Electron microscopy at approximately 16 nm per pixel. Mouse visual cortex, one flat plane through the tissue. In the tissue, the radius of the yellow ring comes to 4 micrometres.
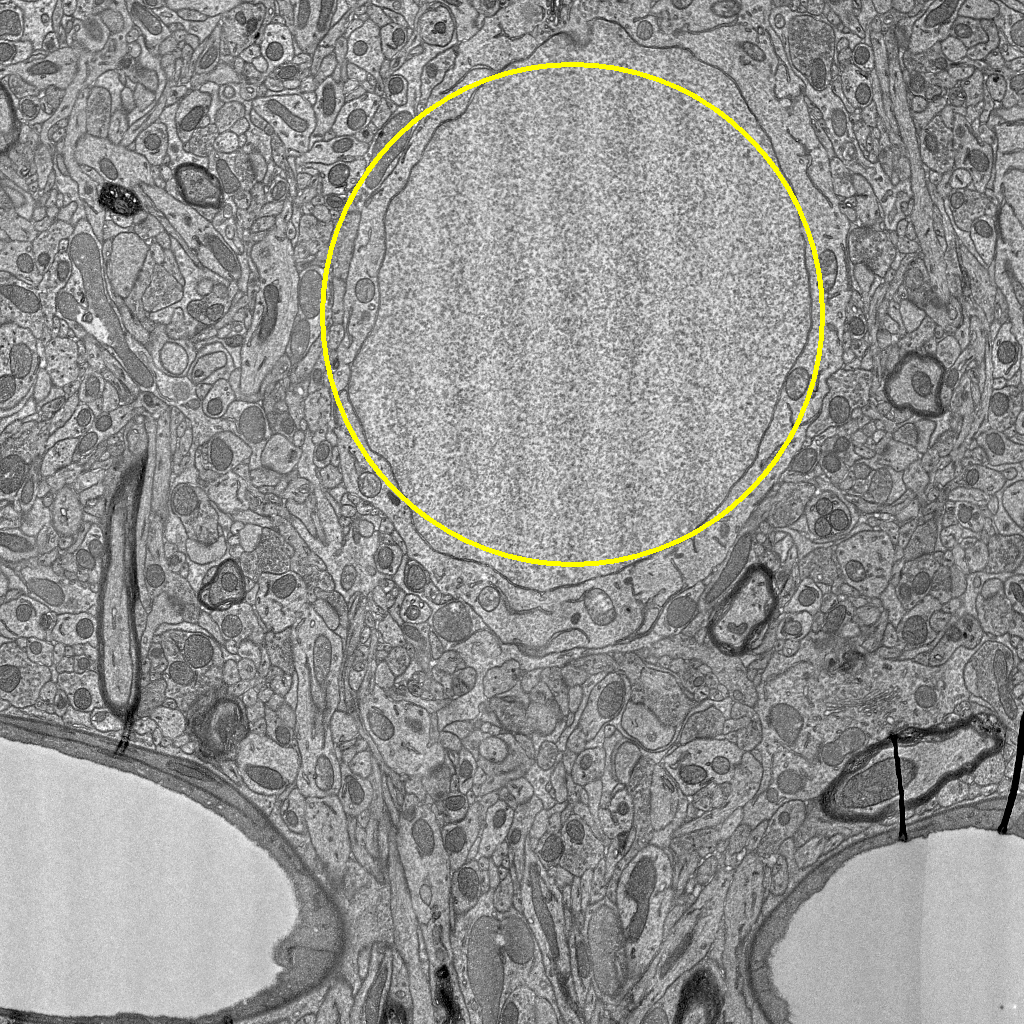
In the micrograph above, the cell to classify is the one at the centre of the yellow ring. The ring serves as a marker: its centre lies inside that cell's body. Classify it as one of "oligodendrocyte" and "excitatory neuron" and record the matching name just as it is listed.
excitatory neuron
